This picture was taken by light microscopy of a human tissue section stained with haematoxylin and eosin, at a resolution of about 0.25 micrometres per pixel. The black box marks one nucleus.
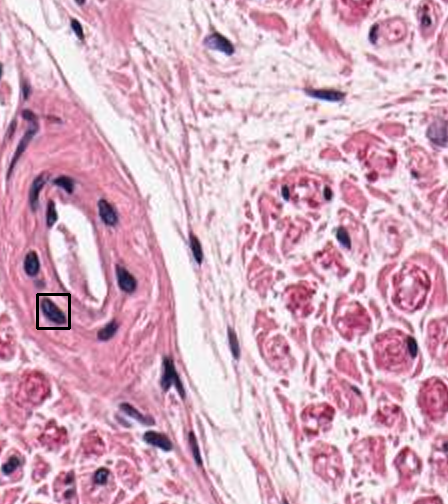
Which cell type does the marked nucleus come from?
smooth muscle cell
